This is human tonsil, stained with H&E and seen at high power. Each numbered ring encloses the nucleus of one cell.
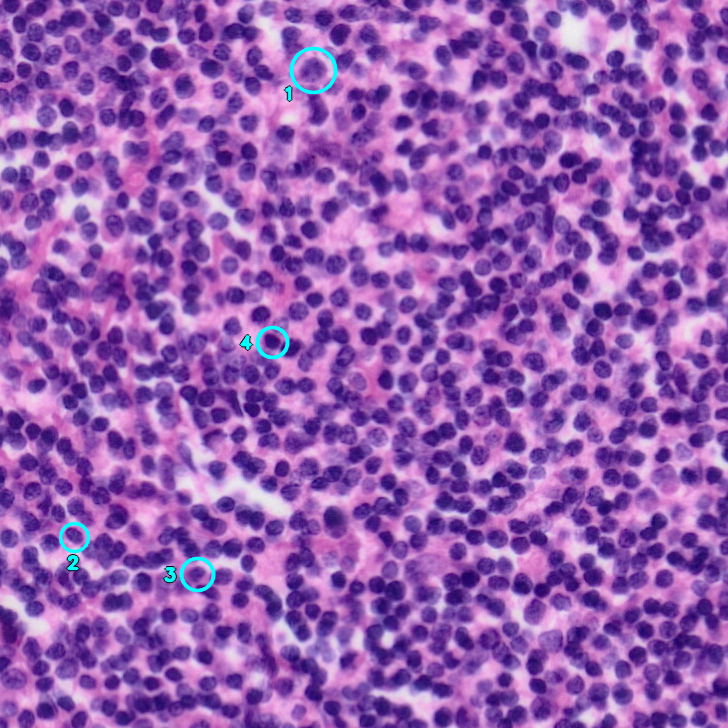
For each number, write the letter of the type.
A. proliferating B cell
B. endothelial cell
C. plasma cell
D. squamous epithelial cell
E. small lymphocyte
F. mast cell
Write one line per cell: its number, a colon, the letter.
1: A
2: E
3: E
4: E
